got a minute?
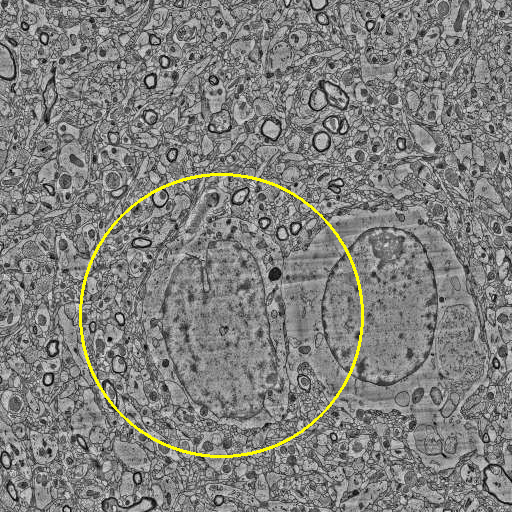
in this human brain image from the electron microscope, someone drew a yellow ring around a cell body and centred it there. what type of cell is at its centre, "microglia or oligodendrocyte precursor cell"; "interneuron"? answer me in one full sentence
It's an interneuron at the middle of that yellow ring in the shot.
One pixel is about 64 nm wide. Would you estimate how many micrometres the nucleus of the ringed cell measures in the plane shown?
In this plane, the nucleus is roughly 11 by 7 micrometres.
